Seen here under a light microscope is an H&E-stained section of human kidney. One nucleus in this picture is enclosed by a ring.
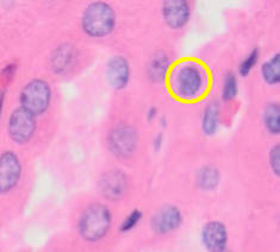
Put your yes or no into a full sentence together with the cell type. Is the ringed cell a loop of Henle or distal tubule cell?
Yes, as far as cell type goes, the ringed cell is a loop of Henle or distal tubule cell.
